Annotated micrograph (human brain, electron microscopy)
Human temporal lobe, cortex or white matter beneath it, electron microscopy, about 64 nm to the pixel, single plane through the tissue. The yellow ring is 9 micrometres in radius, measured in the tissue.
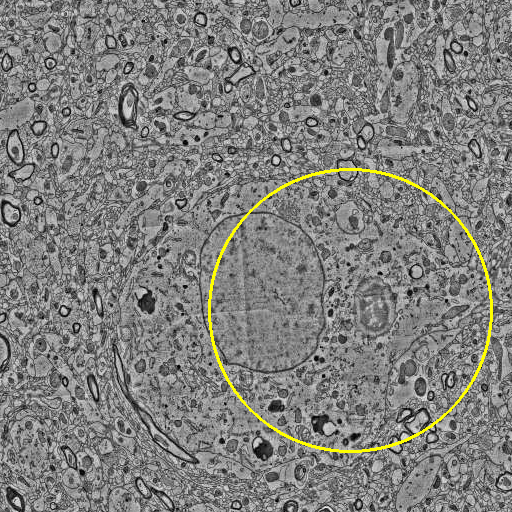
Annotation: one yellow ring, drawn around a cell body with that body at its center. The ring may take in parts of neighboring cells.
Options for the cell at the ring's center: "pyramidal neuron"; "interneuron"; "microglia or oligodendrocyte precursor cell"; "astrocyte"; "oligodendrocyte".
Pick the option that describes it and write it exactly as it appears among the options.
oligodendrocyte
